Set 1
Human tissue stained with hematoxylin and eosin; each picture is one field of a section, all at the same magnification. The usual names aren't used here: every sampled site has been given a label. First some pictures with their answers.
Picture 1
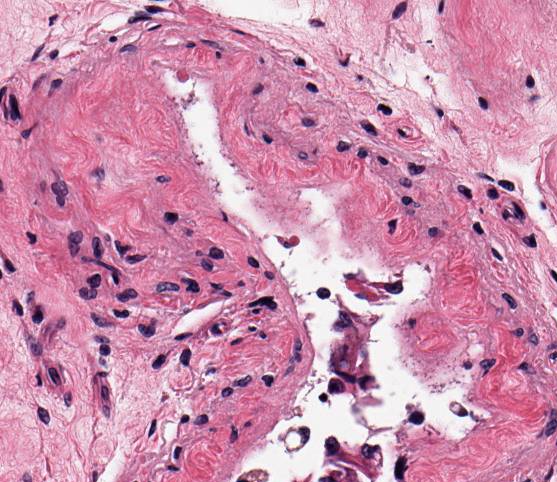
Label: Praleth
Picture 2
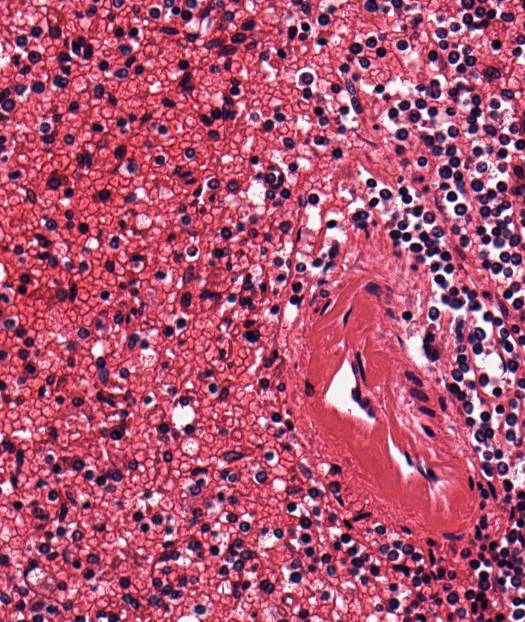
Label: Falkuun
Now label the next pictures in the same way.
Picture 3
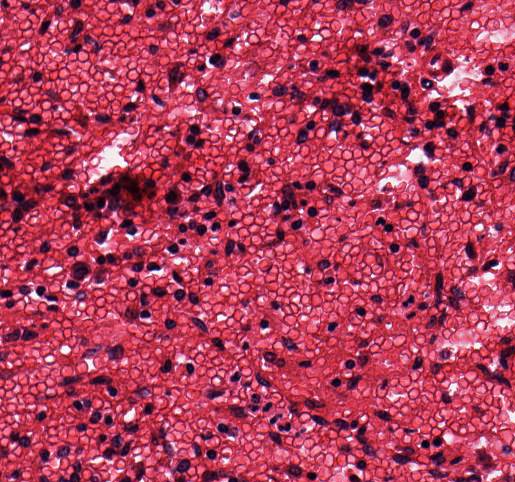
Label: Falkuun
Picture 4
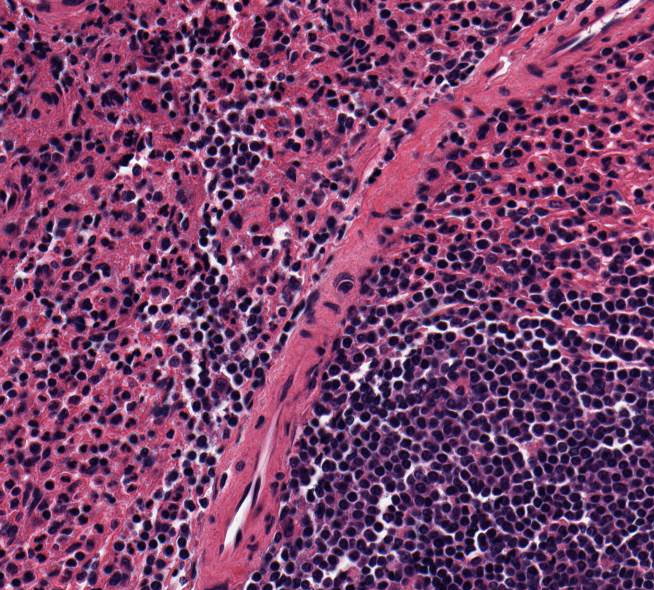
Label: Falkuun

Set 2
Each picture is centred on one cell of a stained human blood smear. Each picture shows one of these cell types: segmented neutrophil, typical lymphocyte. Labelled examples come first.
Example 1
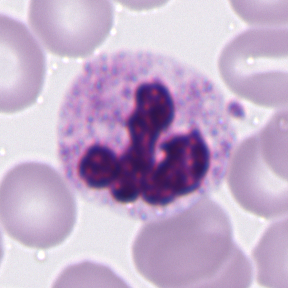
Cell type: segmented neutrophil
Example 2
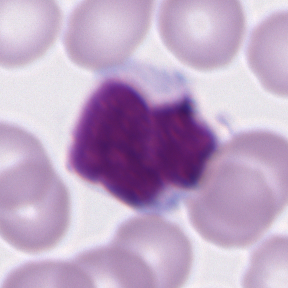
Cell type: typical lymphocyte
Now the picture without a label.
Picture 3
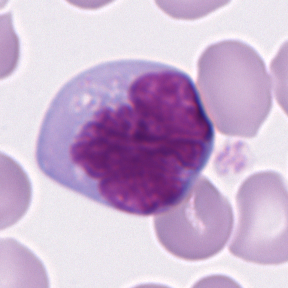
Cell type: typical lymphocyte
